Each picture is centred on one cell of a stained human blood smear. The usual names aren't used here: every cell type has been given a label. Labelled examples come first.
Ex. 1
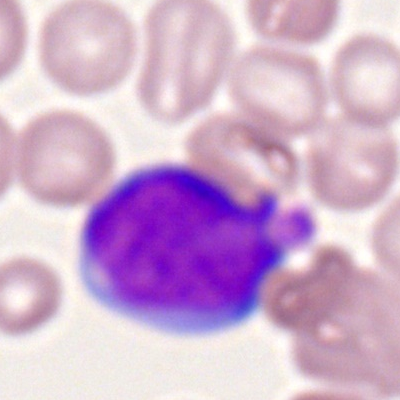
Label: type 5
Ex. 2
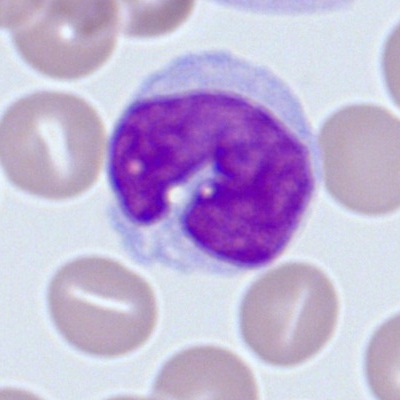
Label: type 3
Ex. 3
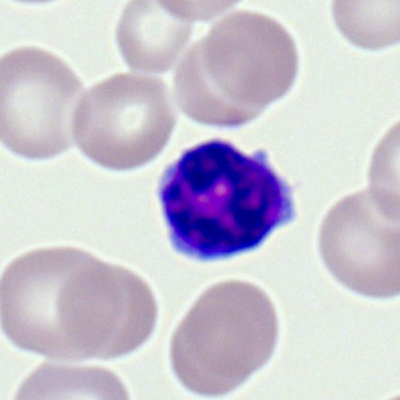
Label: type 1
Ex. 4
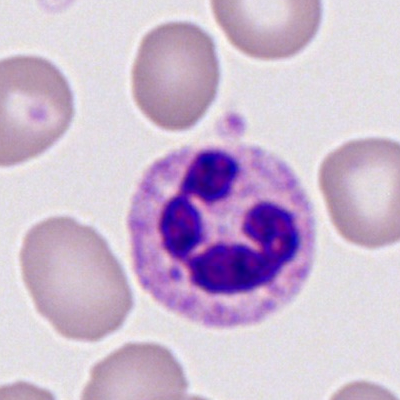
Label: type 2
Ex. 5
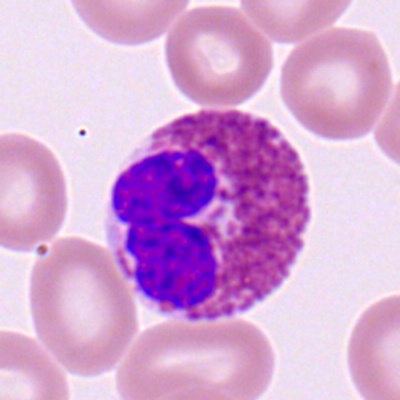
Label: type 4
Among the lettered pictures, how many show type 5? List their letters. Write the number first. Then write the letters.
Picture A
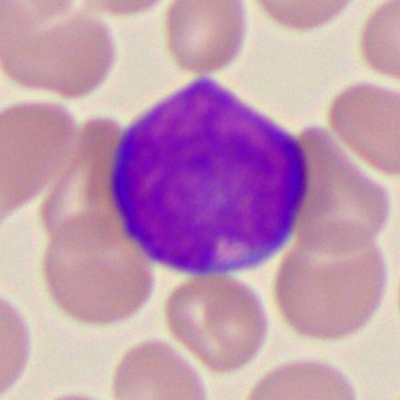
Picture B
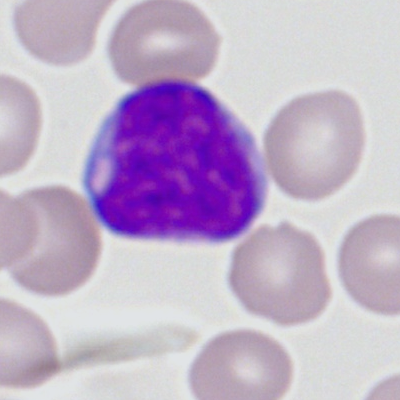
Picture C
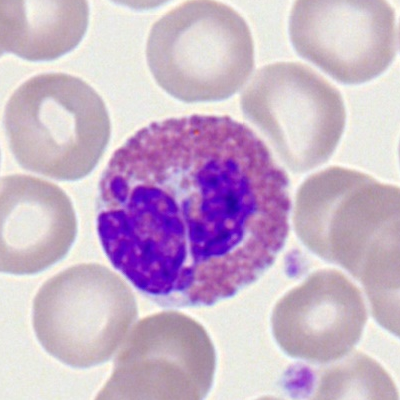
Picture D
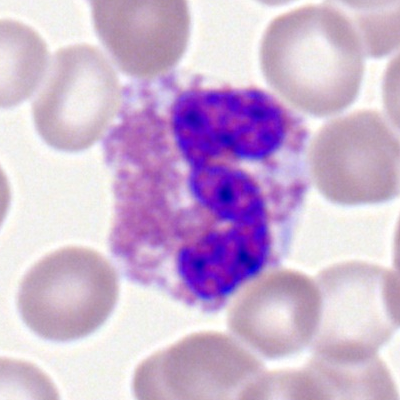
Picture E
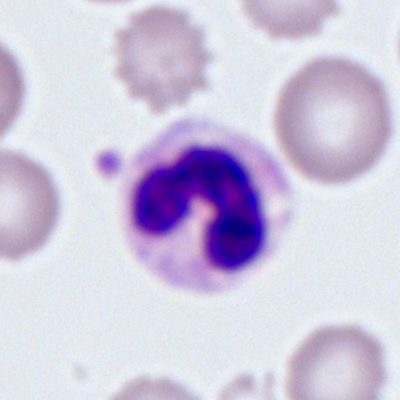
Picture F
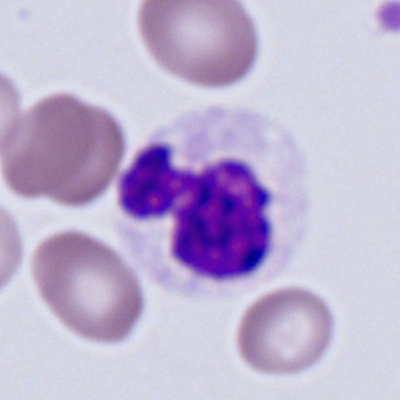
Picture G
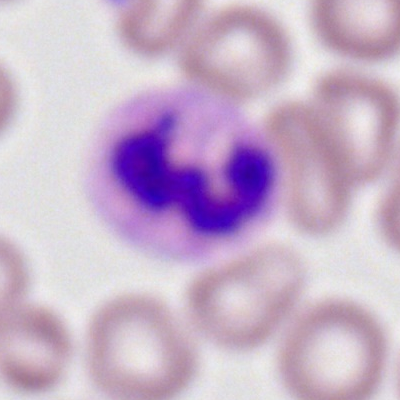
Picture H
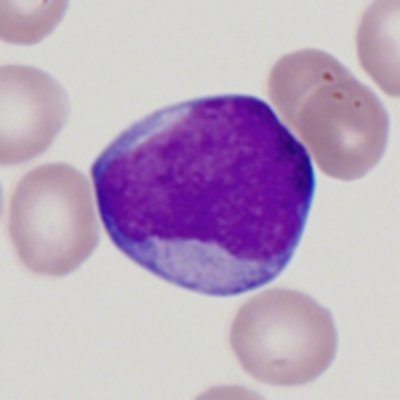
3, namely A, B, H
